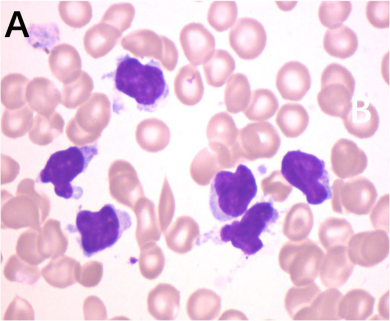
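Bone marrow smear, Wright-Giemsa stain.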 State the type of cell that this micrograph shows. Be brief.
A: Atypical lymphocytes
